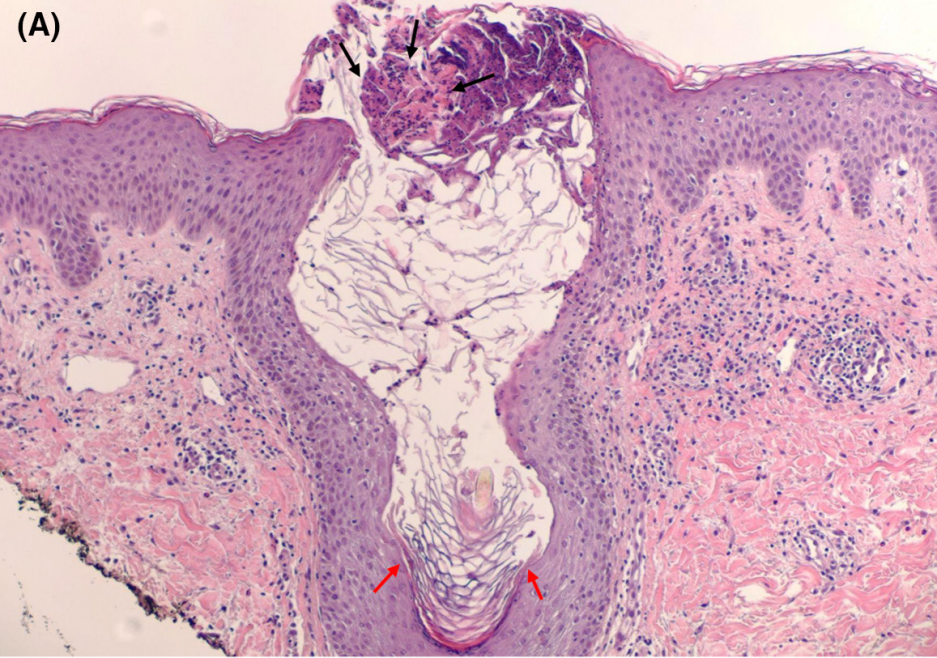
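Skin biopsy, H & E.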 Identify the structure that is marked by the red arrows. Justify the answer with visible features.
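A deep flask-shaped invagination of the epidermis opens onto the surface. Its wide lumen is filled with loose, laminated keratin. A cross-section of a hair shaft lies within the lumen. The answer: dilated hair follicles.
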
